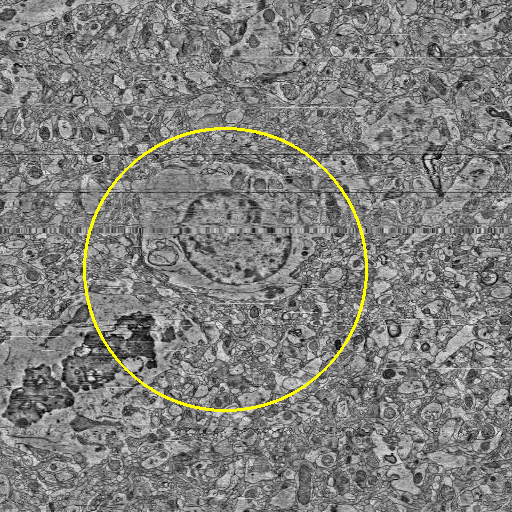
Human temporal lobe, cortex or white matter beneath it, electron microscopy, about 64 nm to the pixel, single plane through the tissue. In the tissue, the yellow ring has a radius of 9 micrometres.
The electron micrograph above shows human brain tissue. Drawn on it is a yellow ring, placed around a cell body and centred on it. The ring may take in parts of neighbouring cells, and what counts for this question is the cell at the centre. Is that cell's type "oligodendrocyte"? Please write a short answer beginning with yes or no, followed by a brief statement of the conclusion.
No, its type is another one.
